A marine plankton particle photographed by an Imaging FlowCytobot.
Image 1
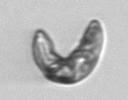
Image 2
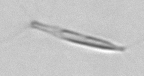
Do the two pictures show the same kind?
No: Karenia papilionacea, then Calciosolenia.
